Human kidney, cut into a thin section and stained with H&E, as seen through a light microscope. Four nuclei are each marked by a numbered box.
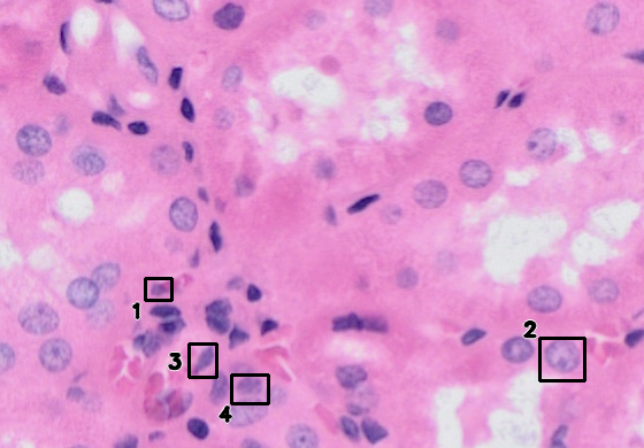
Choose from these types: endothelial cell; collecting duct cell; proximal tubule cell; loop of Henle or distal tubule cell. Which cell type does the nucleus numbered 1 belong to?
endothelial cell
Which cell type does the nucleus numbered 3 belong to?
endothelial cell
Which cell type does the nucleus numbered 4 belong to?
collecting duct cell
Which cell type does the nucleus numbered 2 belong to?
proximal tubule cell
